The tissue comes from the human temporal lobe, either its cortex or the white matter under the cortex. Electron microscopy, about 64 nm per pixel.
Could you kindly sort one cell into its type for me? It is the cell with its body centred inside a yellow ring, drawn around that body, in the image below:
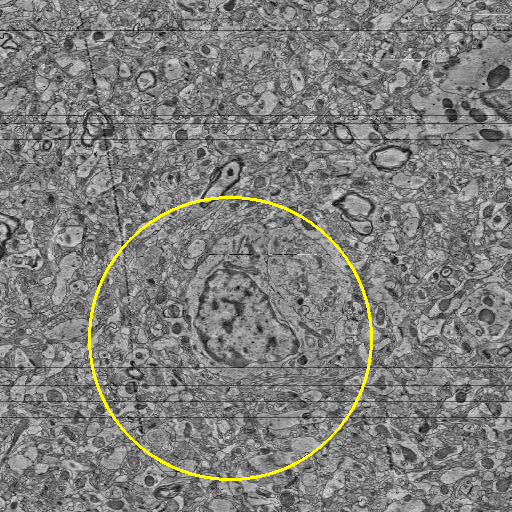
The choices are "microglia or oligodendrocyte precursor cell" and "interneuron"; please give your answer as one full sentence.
The cell whose body lies centred in the yellow ring here is a microglial cell or oligodendrocyte precursor cell.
